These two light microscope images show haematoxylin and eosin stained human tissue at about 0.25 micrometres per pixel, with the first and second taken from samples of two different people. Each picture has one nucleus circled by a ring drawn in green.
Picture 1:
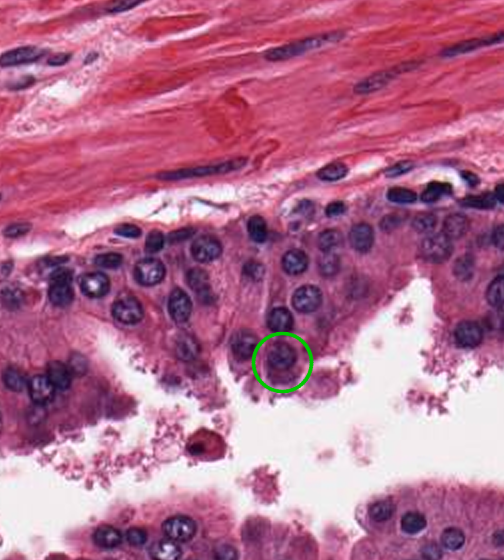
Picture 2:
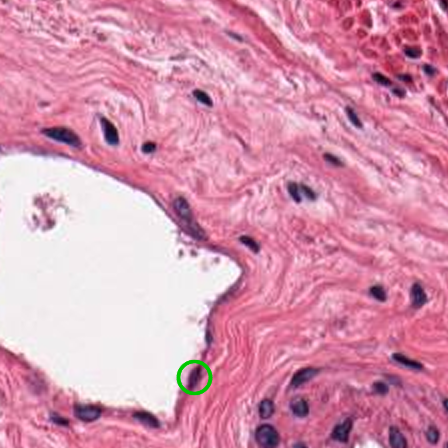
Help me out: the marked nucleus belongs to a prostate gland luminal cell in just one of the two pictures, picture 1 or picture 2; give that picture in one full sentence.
In picture 1 there is a marked nucleus, and it belongs to a prostate gland luminal cell.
